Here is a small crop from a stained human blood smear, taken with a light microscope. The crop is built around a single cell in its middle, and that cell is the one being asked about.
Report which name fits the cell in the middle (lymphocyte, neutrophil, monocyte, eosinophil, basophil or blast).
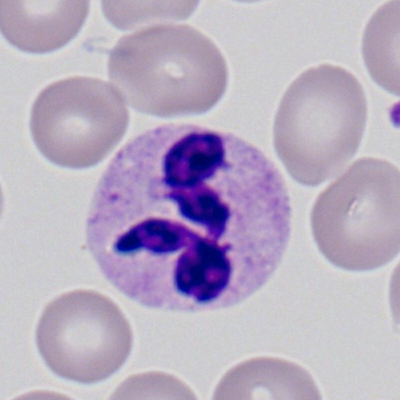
neutrophil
